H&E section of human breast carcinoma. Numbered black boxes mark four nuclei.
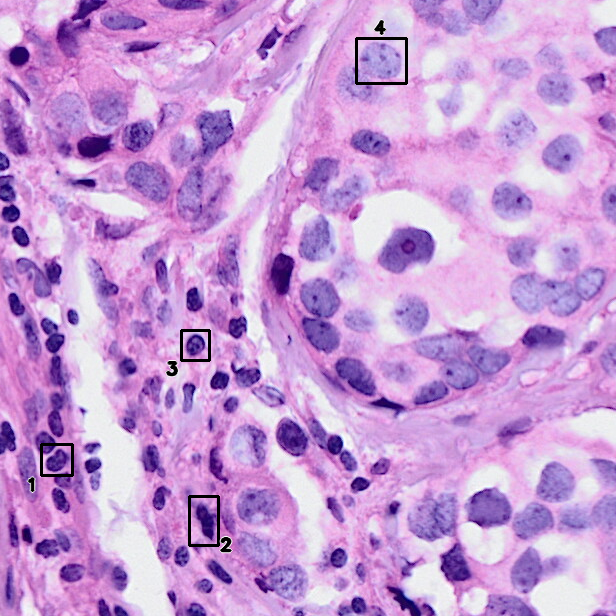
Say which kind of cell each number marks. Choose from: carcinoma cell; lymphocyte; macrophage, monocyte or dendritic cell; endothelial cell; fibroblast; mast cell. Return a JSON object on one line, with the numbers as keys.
{"1": "lymphocyte", "2": "lymphocyte", "3": "lymphocyte", "4": "carcinoma cell"}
